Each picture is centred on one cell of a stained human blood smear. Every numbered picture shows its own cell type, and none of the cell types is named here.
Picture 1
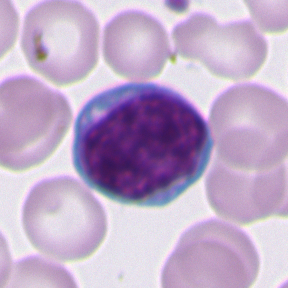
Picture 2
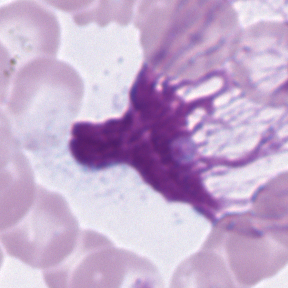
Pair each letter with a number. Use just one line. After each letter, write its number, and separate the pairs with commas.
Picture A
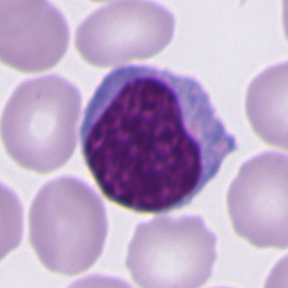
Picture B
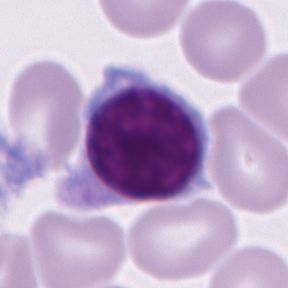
A 1, B 1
